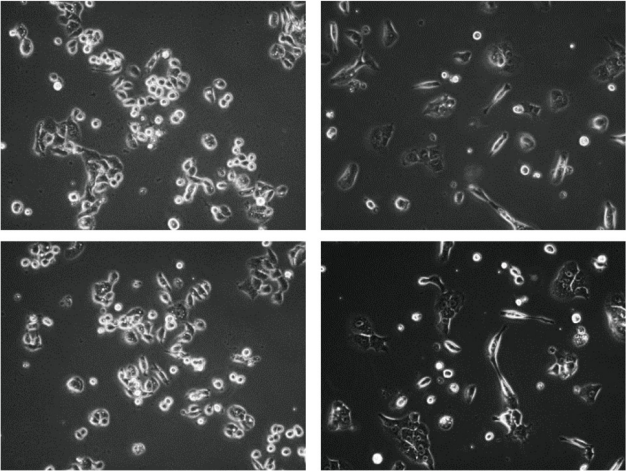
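In the left column, most cells are small, rounded to polygonal, and packed into tight multicellular clusters and sheets, with few isolated cells. In the right column, the cells are spread more loosely and clusters are smaller and fewer. Several cells are elongated and spindle-shaped with drawn-out tapering ends, and some send out thin processes. Small rounded, bright cells also lie singly between them.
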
